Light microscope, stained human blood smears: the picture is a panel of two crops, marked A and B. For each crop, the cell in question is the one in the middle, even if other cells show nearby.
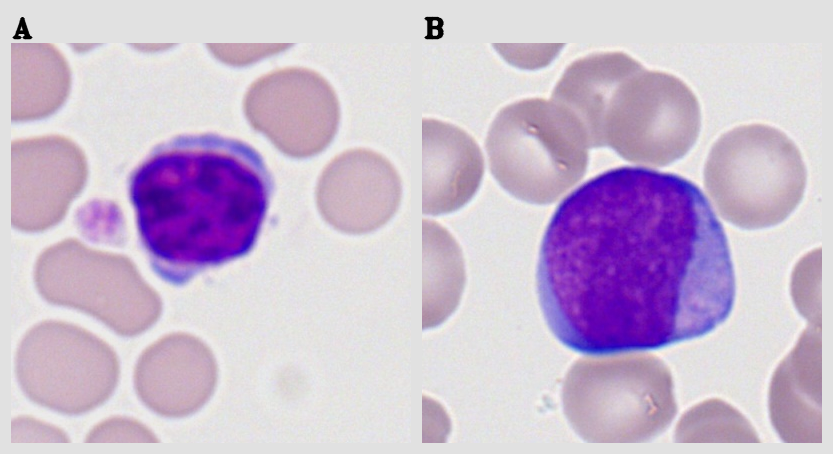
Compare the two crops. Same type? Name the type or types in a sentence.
No, a lymphocyte is shown in crop A and a myeloblast in crop B.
